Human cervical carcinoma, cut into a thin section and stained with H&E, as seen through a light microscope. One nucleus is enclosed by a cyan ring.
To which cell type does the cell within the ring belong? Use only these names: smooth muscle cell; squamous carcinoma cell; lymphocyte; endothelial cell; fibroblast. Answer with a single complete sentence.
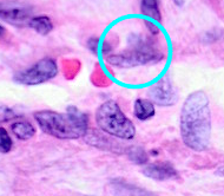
In this tissue section, the cell within the ring is to be classed as an endothelial cell.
